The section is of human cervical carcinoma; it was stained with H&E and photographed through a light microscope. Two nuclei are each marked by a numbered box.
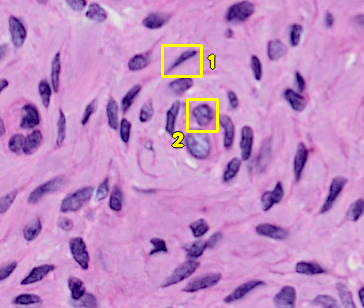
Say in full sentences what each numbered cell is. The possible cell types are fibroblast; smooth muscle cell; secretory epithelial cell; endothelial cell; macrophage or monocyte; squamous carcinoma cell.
Cell 1 is a fibroblast and cell 2 is an endothelial cell.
